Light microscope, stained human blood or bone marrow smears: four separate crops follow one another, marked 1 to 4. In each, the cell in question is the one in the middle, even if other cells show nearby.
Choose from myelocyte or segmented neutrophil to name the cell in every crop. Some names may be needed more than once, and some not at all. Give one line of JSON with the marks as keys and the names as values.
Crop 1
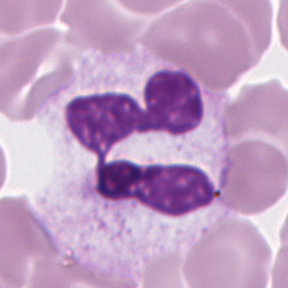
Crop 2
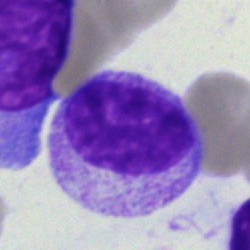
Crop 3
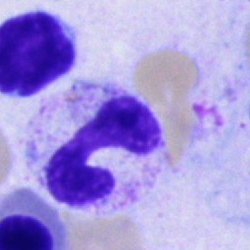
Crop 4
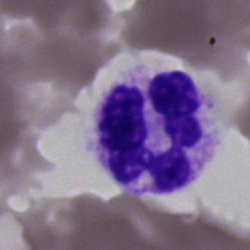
{"1": "segmented neutrophil", "2": "myelocyte", "3": "segmented neutrophil", "4": "segmented neutrophil"}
